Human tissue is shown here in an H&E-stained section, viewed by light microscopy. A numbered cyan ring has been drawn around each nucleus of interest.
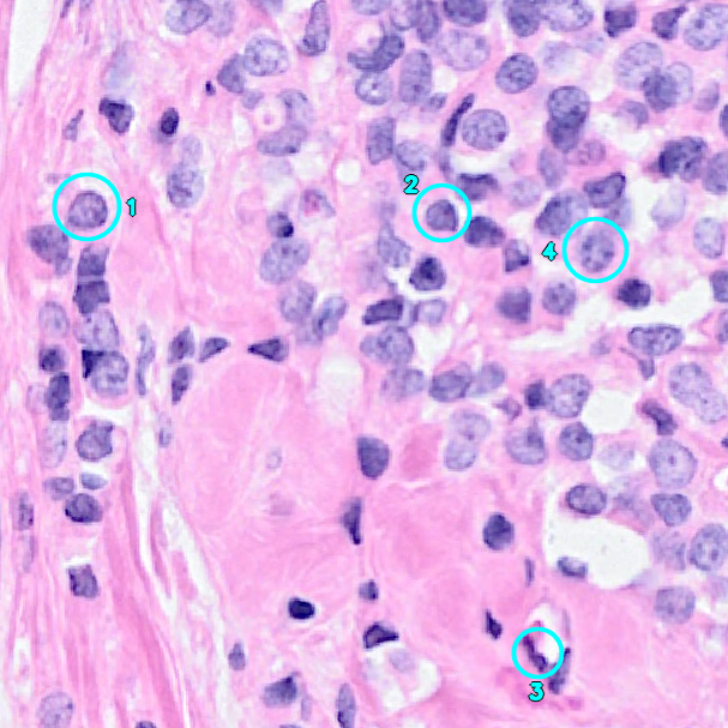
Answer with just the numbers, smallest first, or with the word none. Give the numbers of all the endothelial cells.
3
